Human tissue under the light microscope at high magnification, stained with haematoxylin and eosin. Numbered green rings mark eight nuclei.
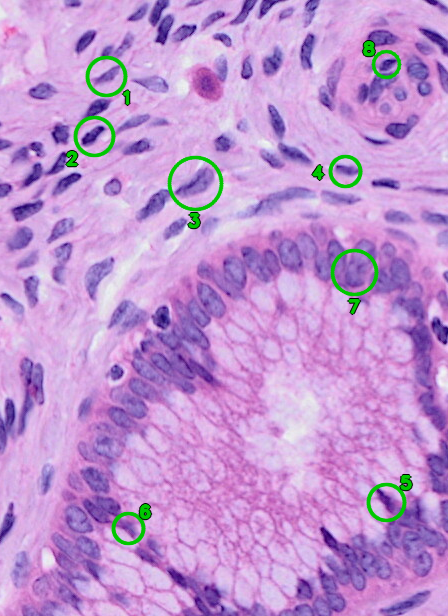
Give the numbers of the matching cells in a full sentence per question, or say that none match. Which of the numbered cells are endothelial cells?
The sole numbered cell that is an endothelial cell is cell 8.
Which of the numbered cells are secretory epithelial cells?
Cells 5, 6 and 7 are classified as secretory epithelial cells.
